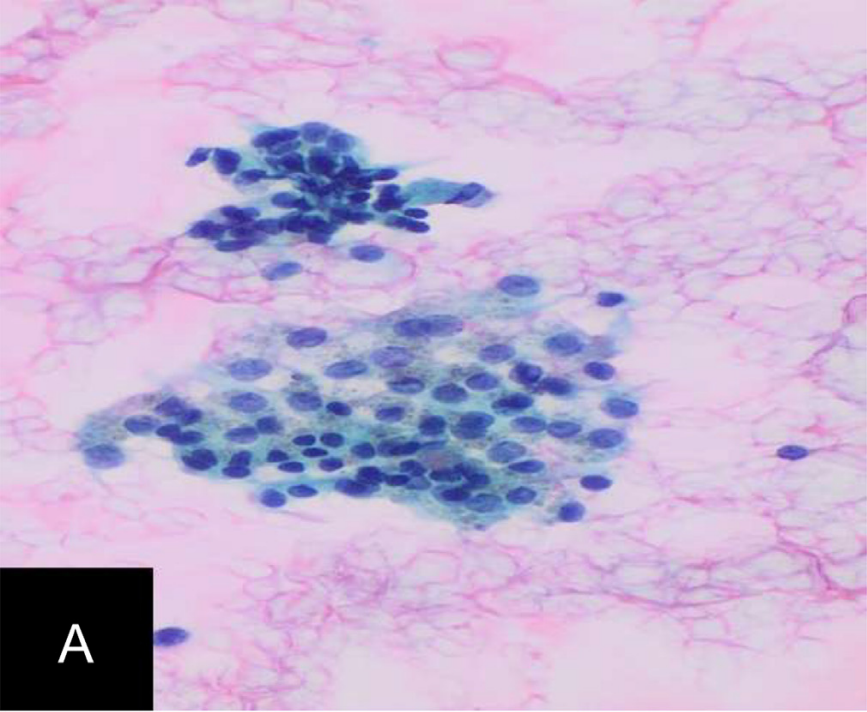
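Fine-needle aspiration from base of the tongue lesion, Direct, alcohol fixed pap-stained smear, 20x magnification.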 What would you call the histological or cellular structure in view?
Thin watery colloid.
